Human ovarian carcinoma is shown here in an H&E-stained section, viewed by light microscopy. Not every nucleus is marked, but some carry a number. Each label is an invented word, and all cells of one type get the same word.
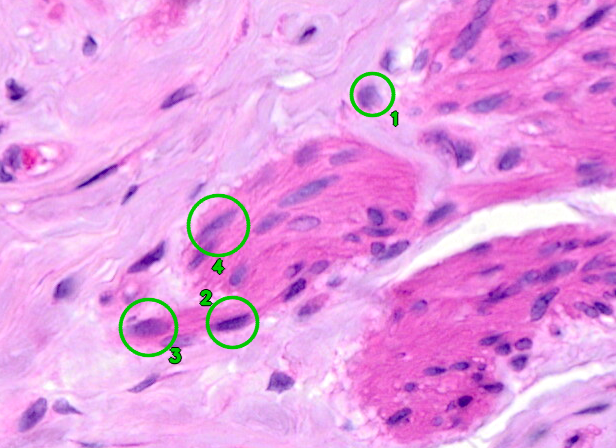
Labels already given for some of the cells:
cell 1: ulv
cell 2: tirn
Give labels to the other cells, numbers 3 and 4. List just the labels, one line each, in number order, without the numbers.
tirn
tirn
